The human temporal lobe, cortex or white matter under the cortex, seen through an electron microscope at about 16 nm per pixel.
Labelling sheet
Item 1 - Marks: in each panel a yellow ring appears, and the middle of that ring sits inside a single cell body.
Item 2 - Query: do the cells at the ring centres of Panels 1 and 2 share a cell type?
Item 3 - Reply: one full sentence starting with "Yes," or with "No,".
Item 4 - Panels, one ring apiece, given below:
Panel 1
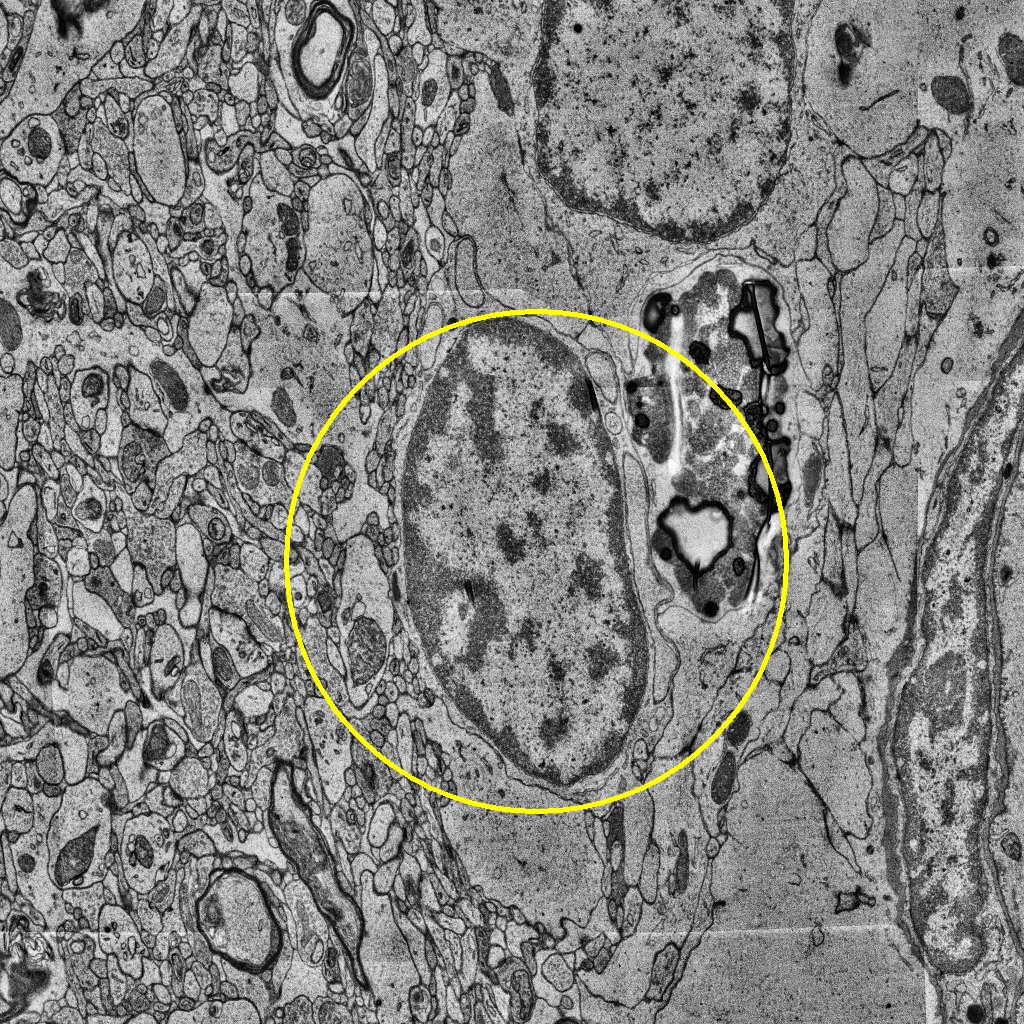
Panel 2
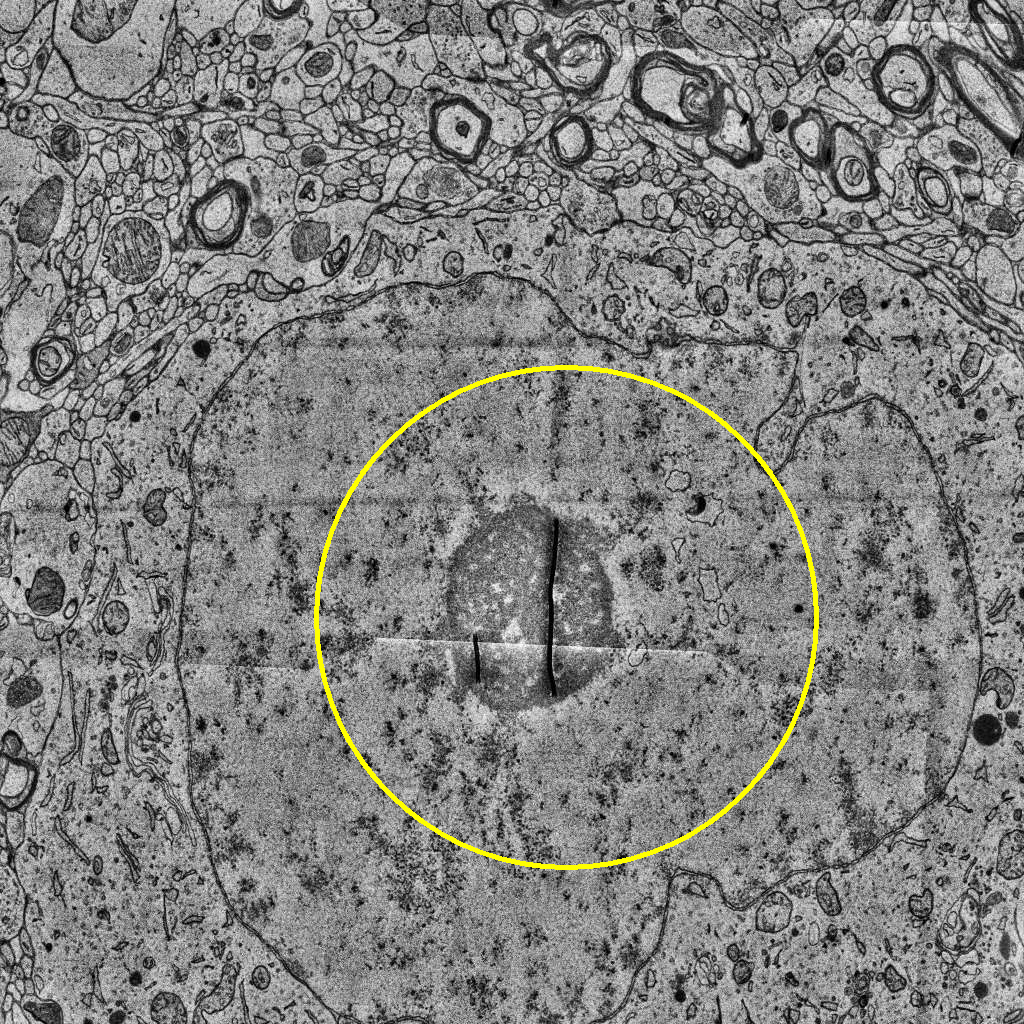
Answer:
No, Panel 1 and Panel 2 show two cell types at the centres of their rings.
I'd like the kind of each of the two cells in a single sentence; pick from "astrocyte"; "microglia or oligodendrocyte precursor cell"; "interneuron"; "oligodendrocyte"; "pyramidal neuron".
The first cell is a microglial cell or oligodendrocyte precursor cell; the second is a pyramidal neuron.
